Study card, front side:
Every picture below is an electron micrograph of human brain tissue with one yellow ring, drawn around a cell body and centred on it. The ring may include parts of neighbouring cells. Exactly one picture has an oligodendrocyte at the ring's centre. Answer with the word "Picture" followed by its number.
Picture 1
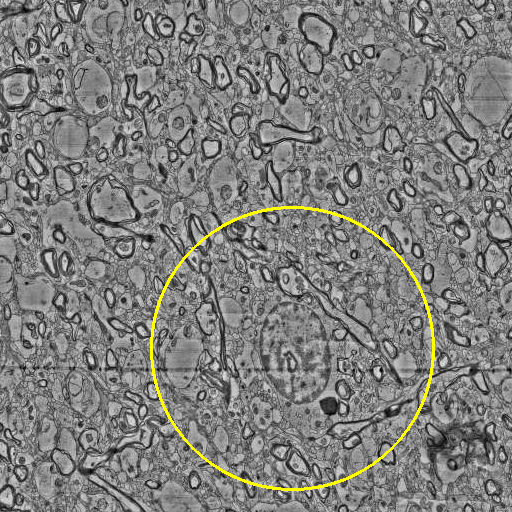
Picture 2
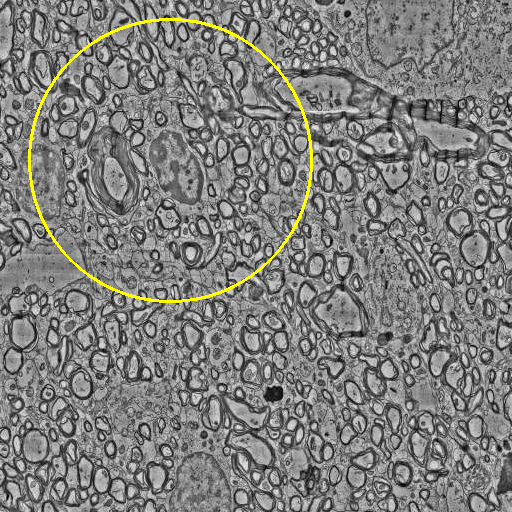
Picture 1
